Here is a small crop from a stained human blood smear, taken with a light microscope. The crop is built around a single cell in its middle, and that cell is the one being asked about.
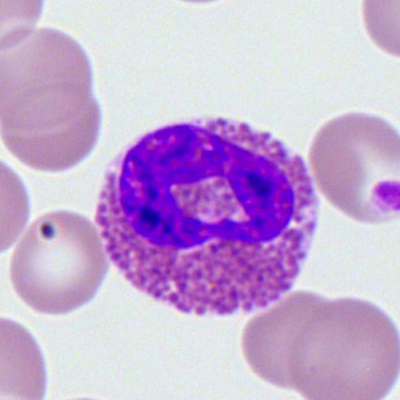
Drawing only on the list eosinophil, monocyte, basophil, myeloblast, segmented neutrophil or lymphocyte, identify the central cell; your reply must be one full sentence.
The center cell of this crop is an eosinophil.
